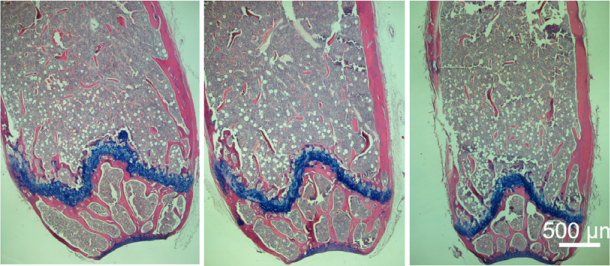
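Three side-by-side longitudinal sections of the end of a long bone are shown, each with pink cortical bone walls along both sides and a rounded end at the bottom. The shaft is filled with densely cellular marrow that looks grey-purple, crossed by thin pink trabeculae. Near the bottom, a wavy band stained blue runs across the whole width of the bone, consistent with cartilage. Below this band lies the rounded bone end, subdivided into larger marrow spaces by thicker pink bony struts. The three sections look broadly alike in the arrangement of cortex, trabeculae, blue band and marrow.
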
